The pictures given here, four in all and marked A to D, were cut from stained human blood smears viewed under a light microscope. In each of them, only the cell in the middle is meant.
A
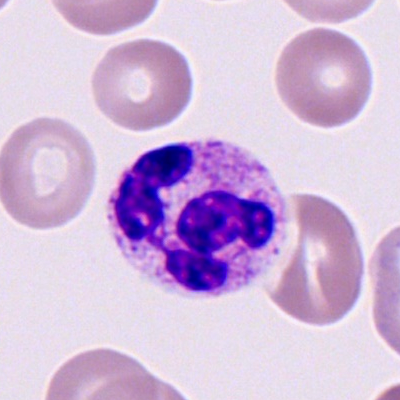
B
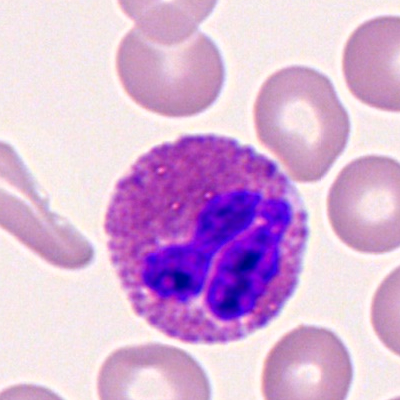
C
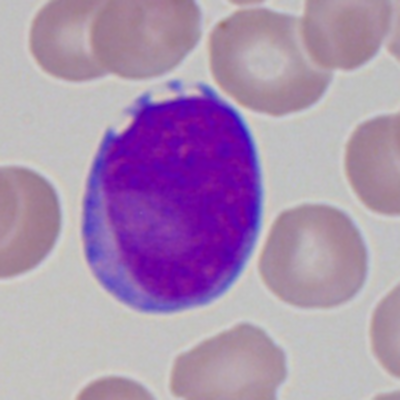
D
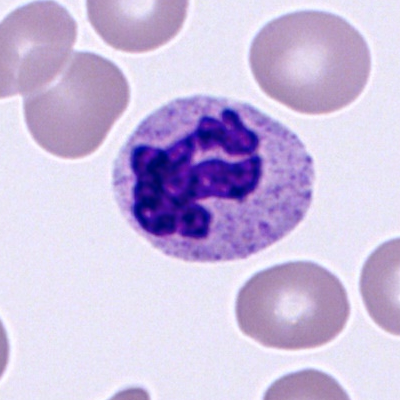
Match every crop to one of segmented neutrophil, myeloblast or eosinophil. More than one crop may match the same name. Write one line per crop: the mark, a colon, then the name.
A: segmented neutrophil
B: eosinophil
C: myeloblast
D: segmented neutrophil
